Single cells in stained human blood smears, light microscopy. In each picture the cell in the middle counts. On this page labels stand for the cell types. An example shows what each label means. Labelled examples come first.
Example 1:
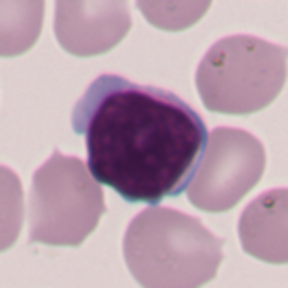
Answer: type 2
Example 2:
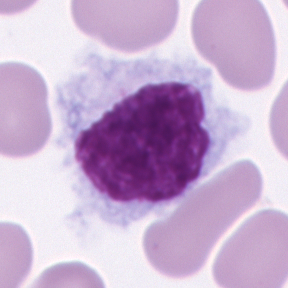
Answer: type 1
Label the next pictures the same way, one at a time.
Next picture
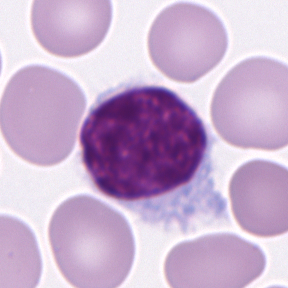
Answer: type 1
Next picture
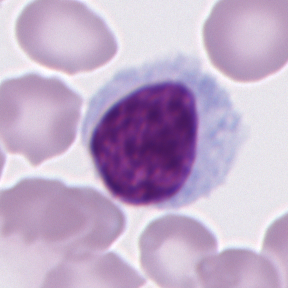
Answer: type 1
